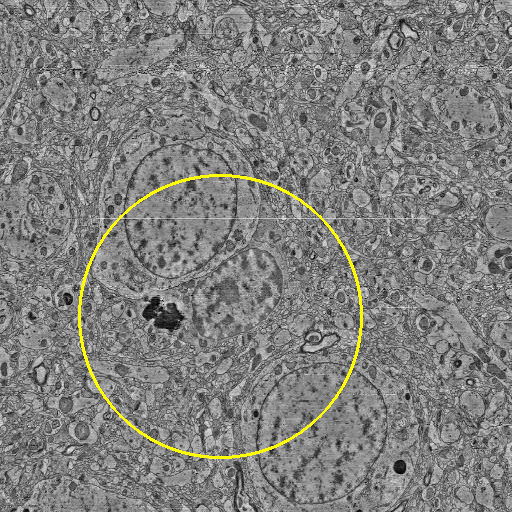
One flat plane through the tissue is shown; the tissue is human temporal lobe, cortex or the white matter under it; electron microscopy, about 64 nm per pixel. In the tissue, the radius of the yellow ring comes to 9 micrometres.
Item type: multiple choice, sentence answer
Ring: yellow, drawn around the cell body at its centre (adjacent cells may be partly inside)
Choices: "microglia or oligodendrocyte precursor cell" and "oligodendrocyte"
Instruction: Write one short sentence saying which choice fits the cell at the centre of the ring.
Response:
This ring is drawn around an oligodendrocyte.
